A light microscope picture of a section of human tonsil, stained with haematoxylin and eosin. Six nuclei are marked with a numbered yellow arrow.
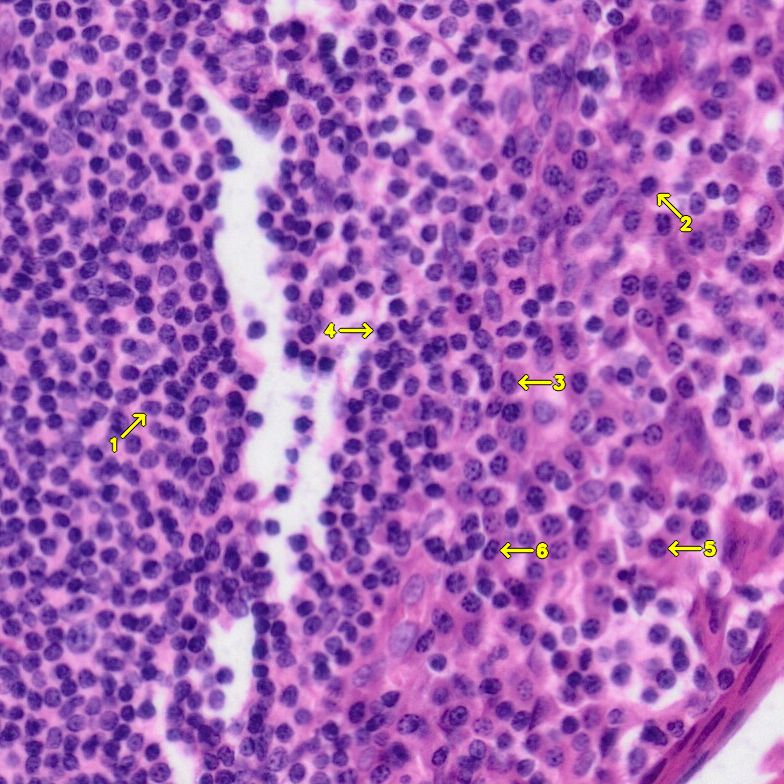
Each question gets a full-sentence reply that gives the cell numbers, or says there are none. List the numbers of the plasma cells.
Cells 2, 3, 5 and 6 share one type; they are plasma cells.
